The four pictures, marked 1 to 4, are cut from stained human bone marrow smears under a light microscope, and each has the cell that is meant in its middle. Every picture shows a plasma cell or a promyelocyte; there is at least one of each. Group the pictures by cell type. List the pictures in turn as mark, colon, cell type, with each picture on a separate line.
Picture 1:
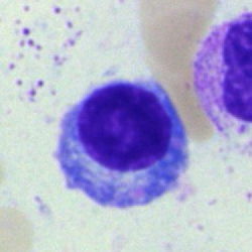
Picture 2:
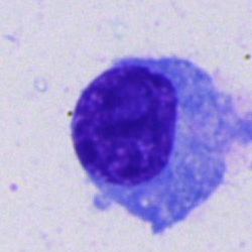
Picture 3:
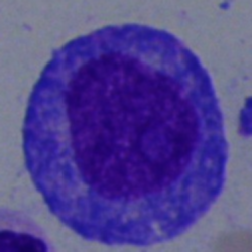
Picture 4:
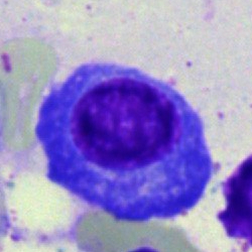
1: plasma cell
2: plasma cell
3: promyelocyte
4: plasma cell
